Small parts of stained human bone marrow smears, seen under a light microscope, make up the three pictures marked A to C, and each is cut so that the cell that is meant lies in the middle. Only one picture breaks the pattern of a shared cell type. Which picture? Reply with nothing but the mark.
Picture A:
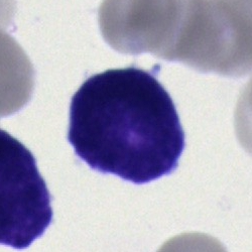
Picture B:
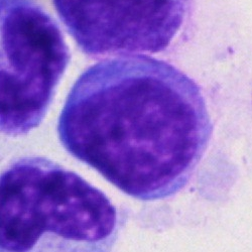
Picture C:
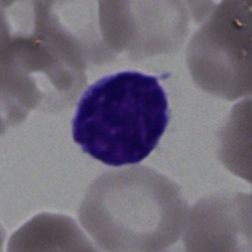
C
